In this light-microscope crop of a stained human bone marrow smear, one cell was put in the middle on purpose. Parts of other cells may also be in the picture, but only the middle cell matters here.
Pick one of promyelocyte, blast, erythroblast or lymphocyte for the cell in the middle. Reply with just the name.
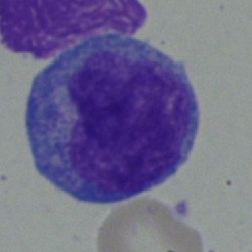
blast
